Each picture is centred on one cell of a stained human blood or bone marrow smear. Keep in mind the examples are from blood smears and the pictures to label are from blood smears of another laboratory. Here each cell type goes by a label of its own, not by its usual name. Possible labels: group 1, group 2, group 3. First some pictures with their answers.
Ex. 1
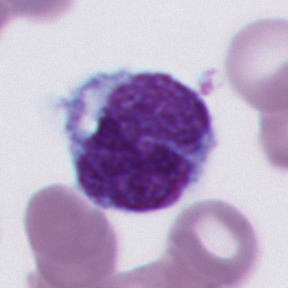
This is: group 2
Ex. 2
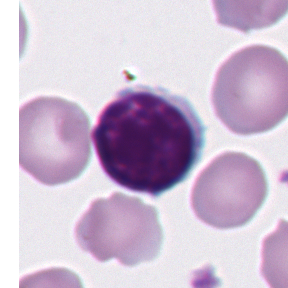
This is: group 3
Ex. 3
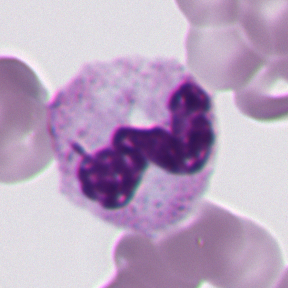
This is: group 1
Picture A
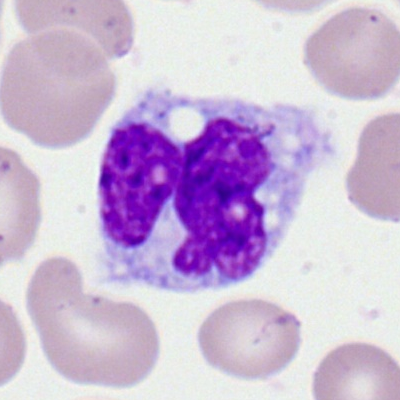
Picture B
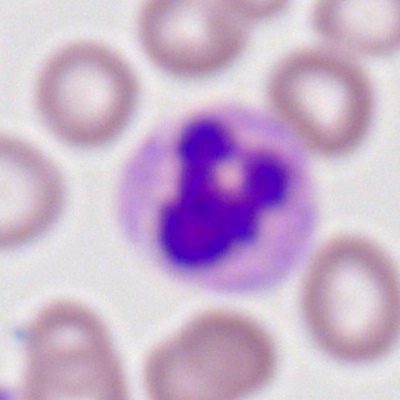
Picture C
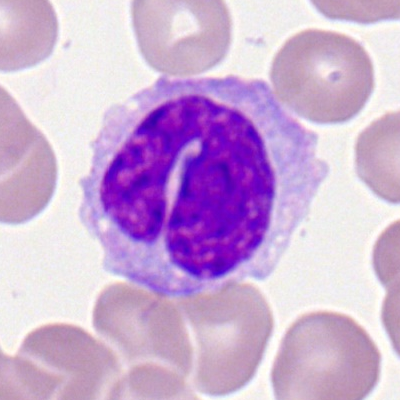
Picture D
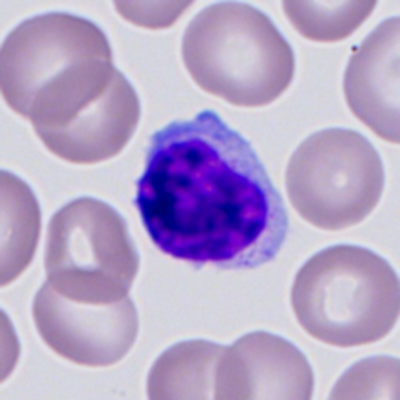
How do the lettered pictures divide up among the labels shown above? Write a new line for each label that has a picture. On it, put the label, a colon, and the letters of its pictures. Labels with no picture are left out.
group 1: B
group 2: A, C
group 3: D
